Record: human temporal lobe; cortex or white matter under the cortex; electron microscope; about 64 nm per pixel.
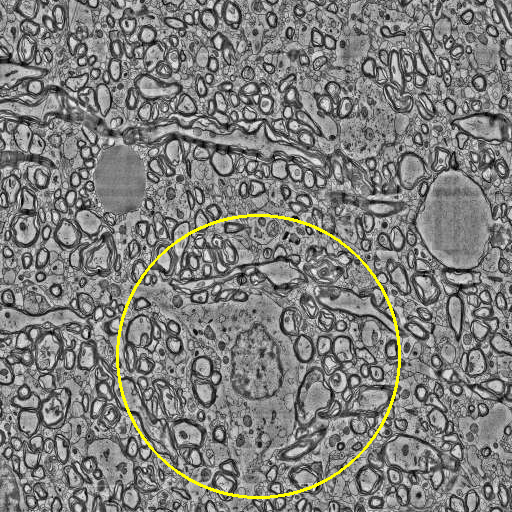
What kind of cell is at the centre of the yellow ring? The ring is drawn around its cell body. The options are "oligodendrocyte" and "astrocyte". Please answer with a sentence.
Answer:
The yellow ring marks the cell body of an astrocyte.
